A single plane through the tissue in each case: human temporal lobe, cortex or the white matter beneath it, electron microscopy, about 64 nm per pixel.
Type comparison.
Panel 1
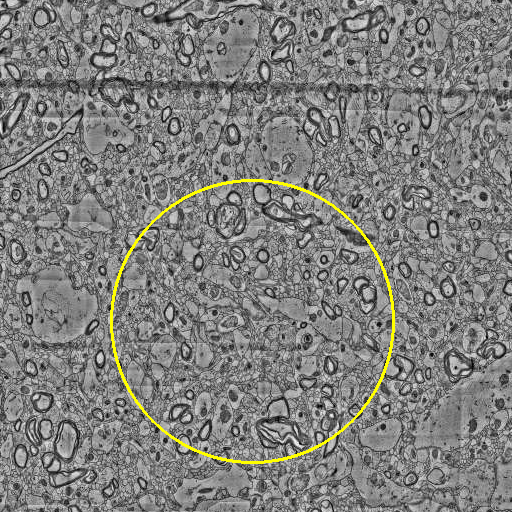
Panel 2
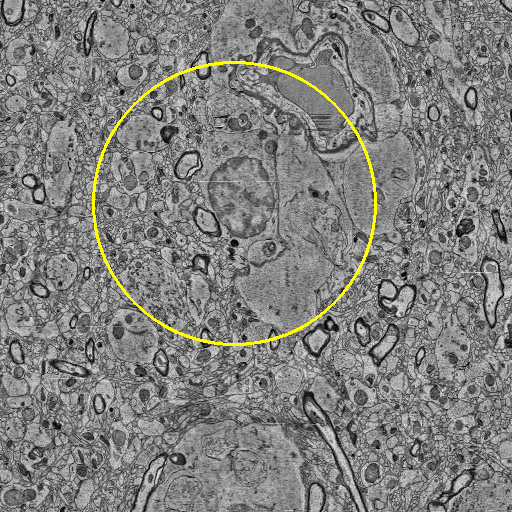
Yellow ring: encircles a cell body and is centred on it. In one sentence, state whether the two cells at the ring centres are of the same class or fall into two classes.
In these panels, the two cells at the ring centres fall into two classes.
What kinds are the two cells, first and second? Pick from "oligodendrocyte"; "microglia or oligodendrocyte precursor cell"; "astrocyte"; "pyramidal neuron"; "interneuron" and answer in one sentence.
The second picture holds an oligodendrocyte in its ring, and the first holds a microglial cell or oligodendrocyte precursor cell.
